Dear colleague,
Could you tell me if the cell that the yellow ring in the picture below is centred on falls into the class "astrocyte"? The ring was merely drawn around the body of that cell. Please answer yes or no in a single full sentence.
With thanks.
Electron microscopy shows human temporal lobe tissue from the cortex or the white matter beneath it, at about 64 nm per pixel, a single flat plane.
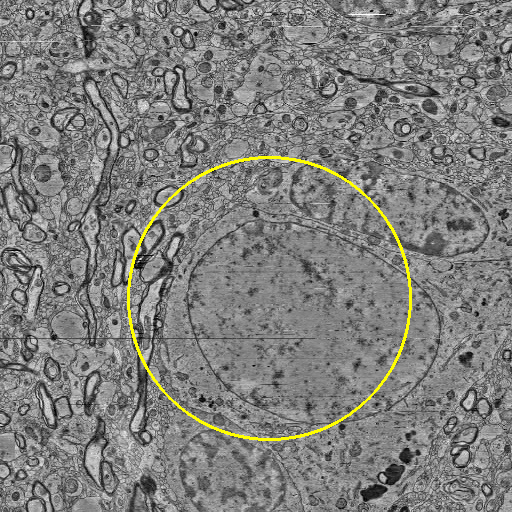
No, the cell on which the ring in your picture is centred falls into a different class.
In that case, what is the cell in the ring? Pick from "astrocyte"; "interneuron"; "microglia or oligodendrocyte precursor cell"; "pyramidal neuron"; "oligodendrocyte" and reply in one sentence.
The ring holds a pyramidal neuron at its centre.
